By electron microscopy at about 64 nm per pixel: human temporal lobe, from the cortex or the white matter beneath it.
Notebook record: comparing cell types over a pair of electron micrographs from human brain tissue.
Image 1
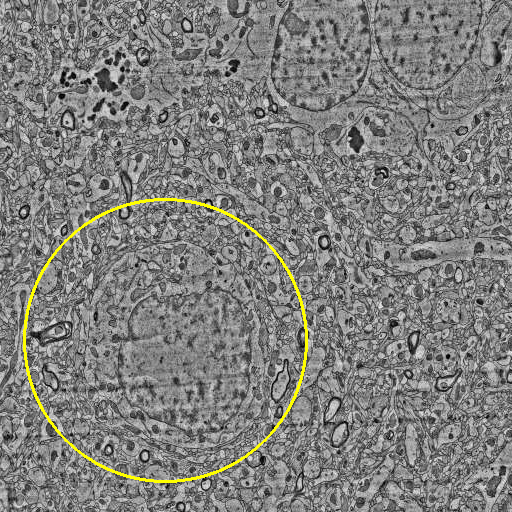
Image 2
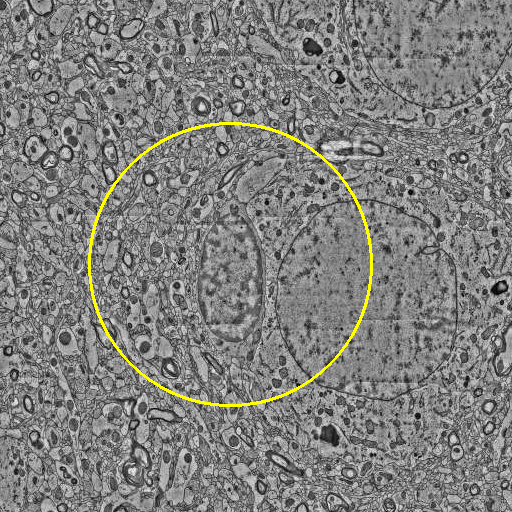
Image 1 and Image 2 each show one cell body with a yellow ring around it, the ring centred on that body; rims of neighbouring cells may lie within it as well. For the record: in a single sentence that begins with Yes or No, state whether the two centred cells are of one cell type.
No, two cell types are found among the centred cells of Image 1 and Image 2.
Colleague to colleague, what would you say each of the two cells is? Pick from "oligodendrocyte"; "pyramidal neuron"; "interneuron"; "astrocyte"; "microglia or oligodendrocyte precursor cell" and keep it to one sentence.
The cell in the first picture is an interneuron; the second picture's cell is an oligodendrocyte.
